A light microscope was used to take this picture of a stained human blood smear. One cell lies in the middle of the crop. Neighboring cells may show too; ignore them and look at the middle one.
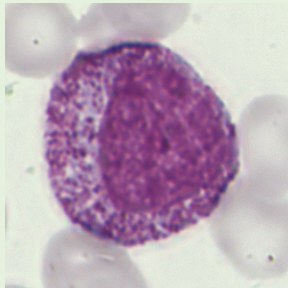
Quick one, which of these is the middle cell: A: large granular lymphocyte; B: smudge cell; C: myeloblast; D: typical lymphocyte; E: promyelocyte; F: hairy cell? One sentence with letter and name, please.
It is a promyelocyte that occupies the centre of the crop, so option E is correct.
